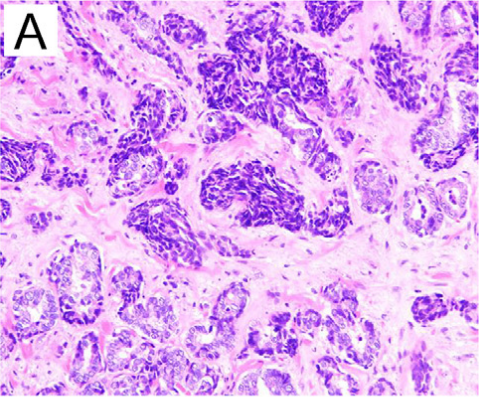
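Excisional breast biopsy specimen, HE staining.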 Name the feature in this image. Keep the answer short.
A: Tubular structures and solid nests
